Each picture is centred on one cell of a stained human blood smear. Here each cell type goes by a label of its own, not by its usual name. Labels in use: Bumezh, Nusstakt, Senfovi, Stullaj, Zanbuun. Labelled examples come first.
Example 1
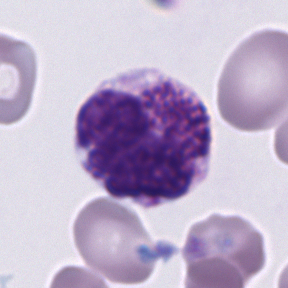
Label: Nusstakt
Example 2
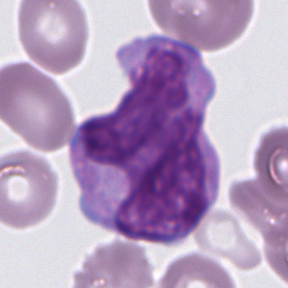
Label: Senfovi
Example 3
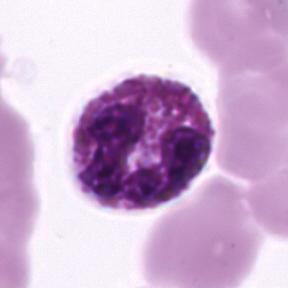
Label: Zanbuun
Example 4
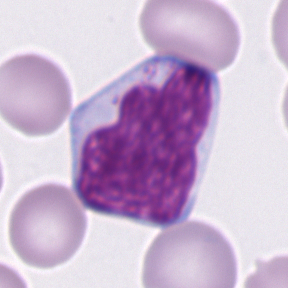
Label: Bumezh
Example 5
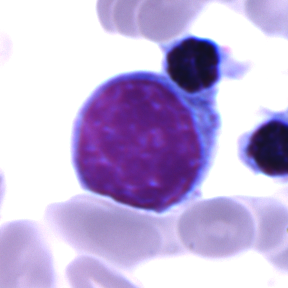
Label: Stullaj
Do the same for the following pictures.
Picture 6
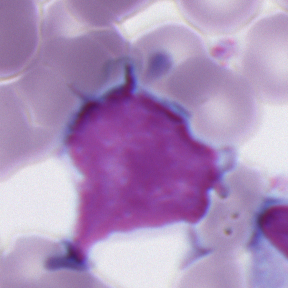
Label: Stullaj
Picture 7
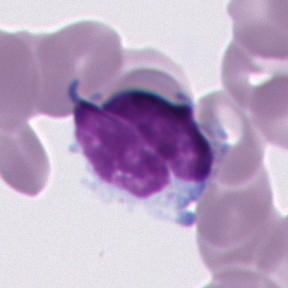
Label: Bumezh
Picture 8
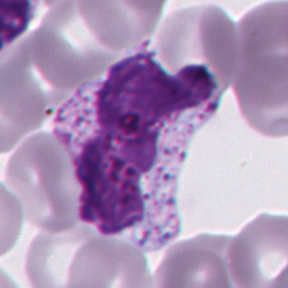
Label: Nusstakt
